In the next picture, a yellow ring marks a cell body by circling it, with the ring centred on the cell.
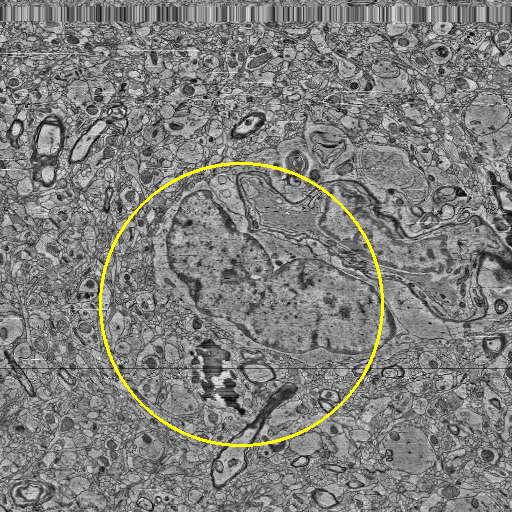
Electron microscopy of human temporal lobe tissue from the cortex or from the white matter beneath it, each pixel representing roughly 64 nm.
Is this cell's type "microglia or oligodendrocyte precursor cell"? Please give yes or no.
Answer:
yes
